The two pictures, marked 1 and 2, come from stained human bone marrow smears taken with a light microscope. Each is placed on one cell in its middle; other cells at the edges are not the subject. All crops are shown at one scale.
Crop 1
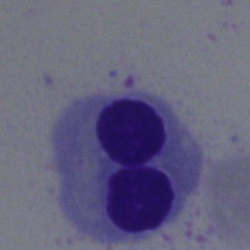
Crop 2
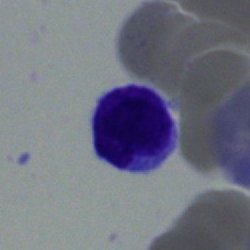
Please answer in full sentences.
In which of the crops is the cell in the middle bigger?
Larger is the cell in crop 1, at roughly 2.5 times the area of the other.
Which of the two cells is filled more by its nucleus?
It is the cell in crop 2 that is filled more by its nucleus.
